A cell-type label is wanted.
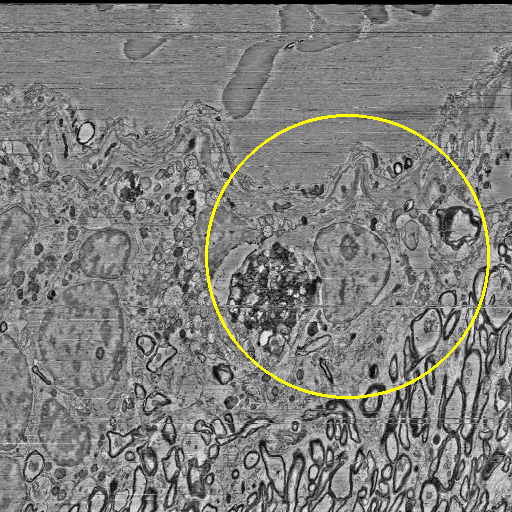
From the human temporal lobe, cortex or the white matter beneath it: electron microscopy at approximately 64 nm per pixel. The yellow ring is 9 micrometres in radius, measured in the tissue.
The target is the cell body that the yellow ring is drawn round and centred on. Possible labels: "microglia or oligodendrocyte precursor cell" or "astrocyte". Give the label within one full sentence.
Of the labels offered, the cell in the middle of the yellow ring is a microglial cell or oligodendrocyte precursor cell.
